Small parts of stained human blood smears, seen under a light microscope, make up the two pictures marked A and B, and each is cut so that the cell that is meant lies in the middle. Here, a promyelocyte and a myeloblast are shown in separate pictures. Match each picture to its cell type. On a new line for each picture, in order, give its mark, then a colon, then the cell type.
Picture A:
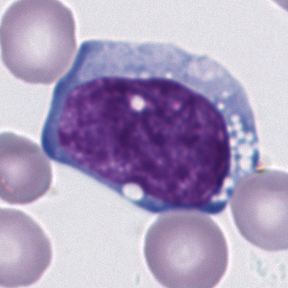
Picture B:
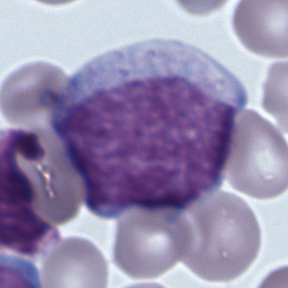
A: myeloblast
B: promyelocyte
